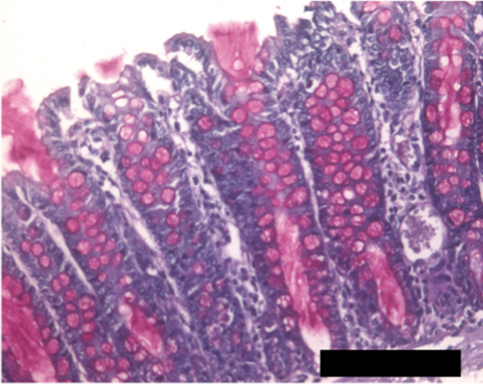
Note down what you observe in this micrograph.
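This is colonic mucosa cut along its crypts, with epithelium crowded by numerous rounded goblet cells whose mucin stains an intense magenta. Bright magenta mucus also fills some crypt lumens and lies on the surface, while the cells between the goblet cells and the lamina propria between crypts show dark purple nuclei.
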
